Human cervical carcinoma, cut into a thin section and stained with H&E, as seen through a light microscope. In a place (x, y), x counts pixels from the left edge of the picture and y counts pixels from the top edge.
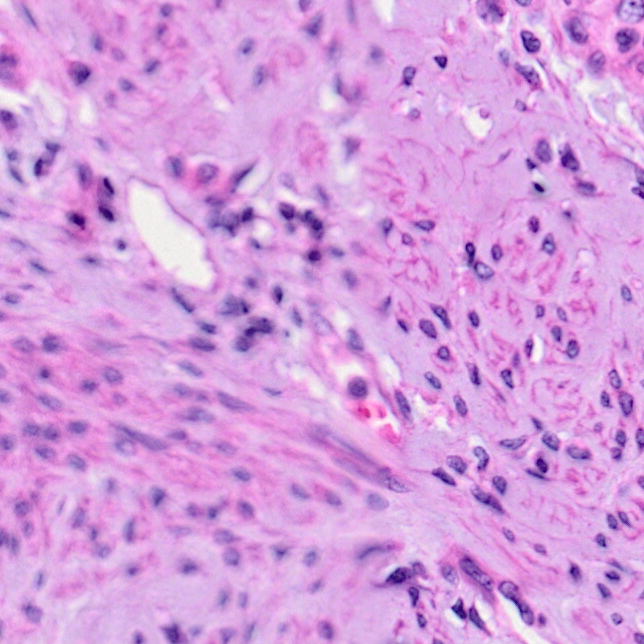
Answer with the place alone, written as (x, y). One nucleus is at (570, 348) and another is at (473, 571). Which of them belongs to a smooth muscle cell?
(570, 348)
